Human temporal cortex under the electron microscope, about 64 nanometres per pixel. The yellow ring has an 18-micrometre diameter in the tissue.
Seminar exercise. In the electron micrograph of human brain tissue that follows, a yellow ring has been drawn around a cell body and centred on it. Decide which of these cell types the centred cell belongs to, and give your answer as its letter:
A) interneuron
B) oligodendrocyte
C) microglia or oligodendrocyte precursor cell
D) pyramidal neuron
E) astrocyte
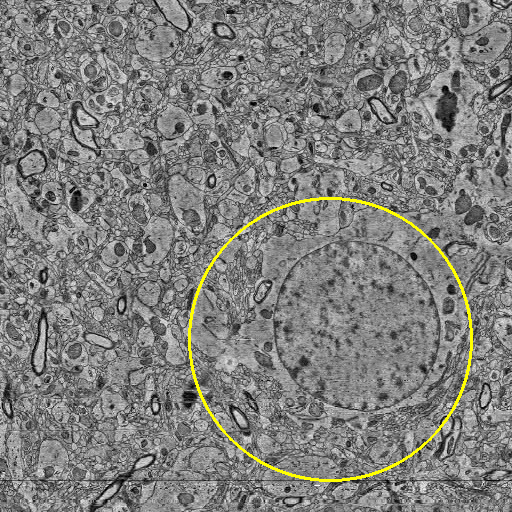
E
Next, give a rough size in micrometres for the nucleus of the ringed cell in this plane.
In this plane, the nucleus measures approximately 11 micrometres across.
